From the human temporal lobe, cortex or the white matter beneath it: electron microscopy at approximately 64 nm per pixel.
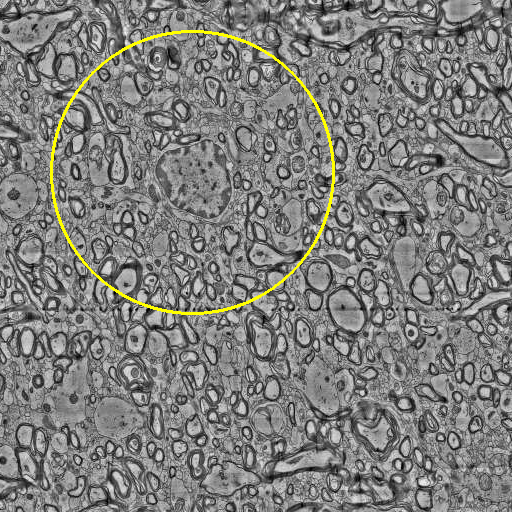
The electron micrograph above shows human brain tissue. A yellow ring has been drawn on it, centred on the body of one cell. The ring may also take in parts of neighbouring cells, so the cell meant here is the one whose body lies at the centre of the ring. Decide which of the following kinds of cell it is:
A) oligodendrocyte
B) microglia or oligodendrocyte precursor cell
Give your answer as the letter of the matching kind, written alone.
B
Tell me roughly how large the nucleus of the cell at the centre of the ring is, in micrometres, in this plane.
Approximately 5 micrometres across, in this plane.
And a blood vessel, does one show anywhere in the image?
No, the image shows no blood vessel.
